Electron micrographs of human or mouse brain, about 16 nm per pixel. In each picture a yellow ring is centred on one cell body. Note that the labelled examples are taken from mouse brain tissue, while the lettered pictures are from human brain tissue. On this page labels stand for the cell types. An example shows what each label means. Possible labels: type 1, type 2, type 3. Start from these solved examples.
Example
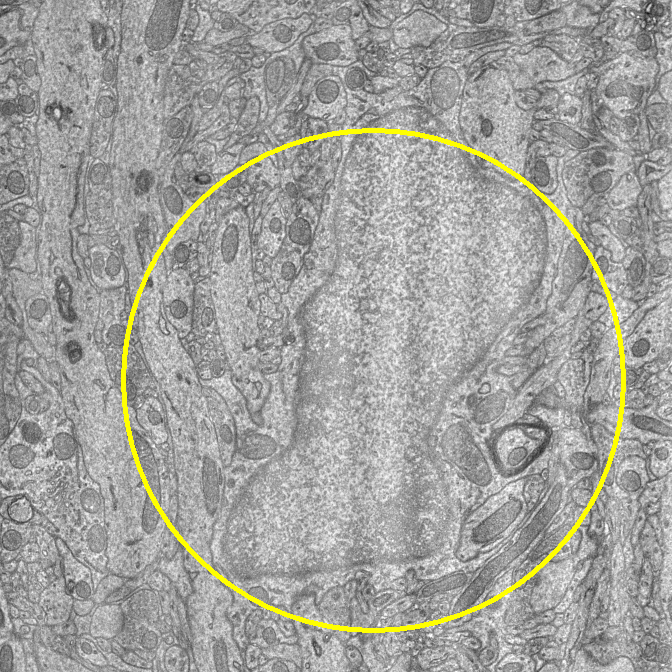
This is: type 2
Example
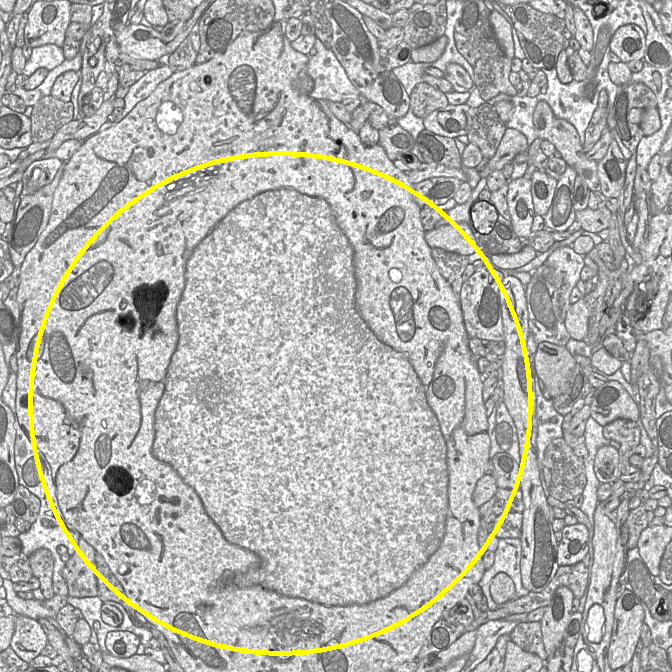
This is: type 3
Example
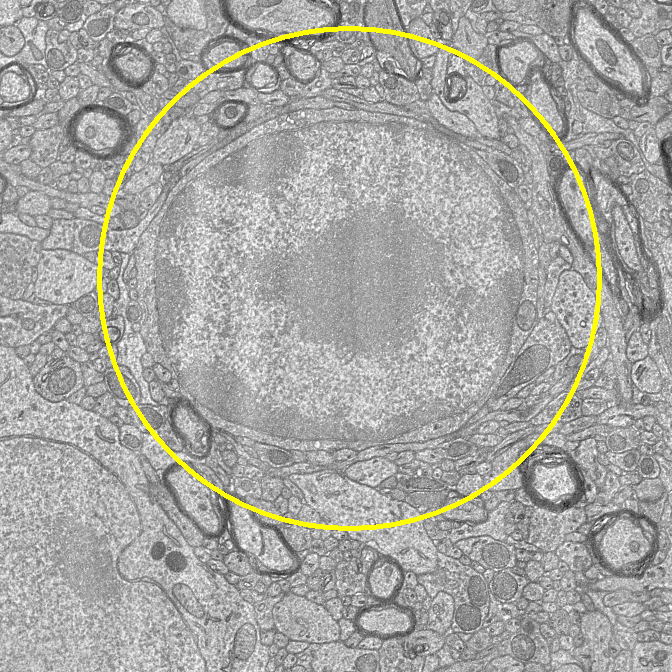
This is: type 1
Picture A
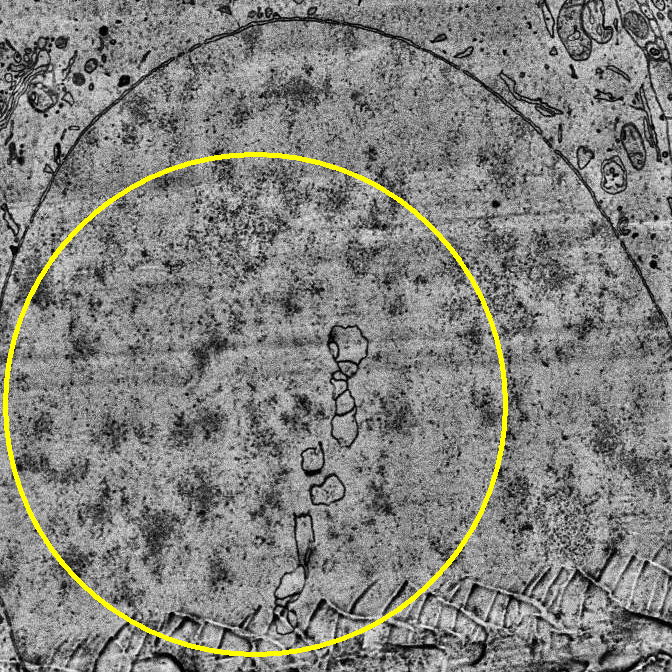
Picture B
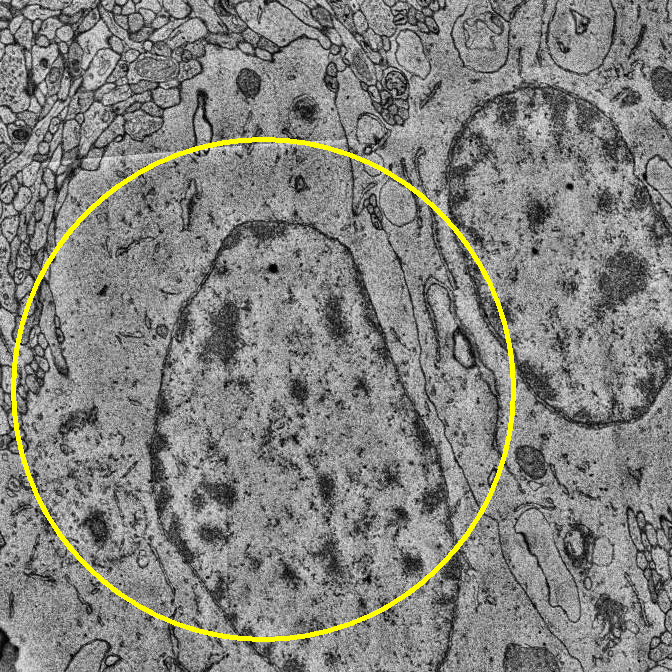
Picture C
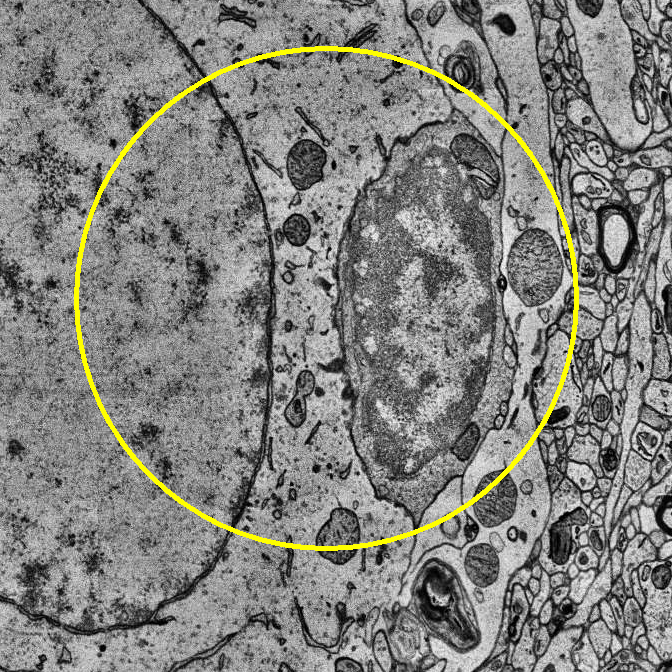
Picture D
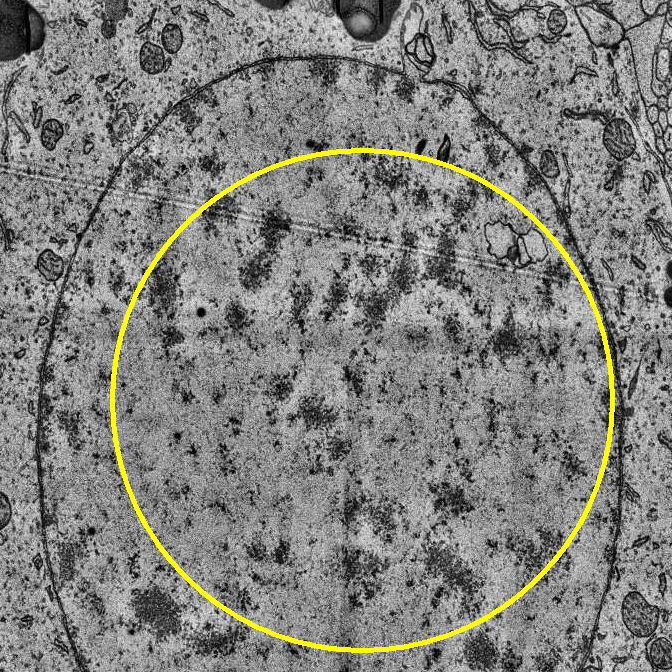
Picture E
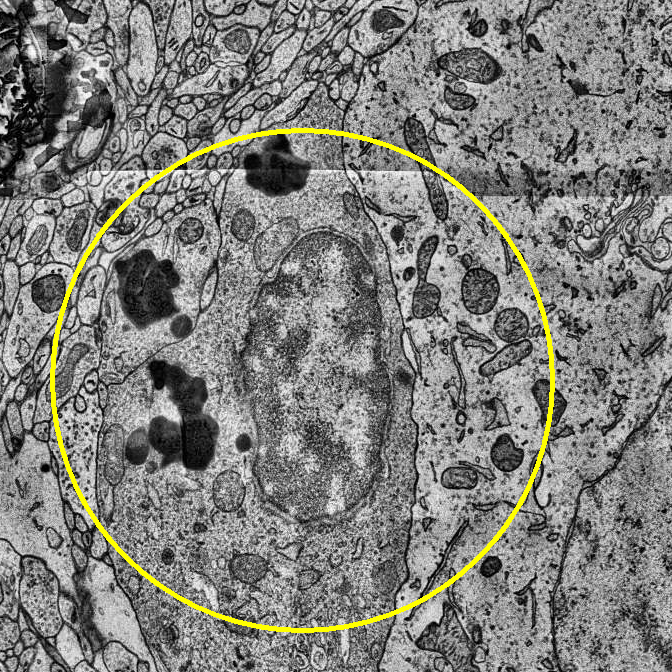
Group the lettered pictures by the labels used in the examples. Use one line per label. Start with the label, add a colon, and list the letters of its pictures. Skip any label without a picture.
type 1: C, E
type 2: B
type 3: A, D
